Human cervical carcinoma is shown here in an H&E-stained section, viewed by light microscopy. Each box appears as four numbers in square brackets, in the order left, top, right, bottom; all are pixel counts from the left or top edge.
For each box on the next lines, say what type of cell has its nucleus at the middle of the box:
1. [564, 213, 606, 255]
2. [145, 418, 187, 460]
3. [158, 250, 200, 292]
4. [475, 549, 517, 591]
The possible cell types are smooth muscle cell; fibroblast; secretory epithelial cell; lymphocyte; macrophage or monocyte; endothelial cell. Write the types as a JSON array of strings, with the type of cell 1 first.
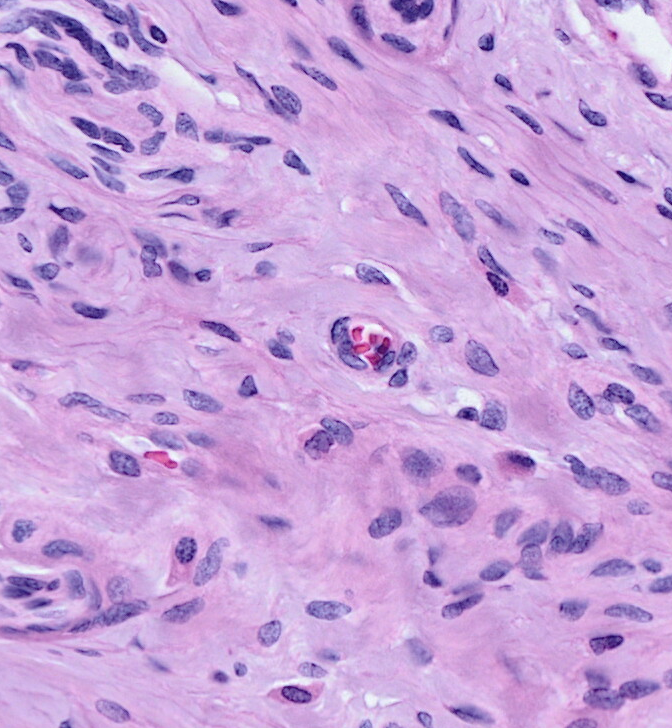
["fibroblast", "endothelial cell", "fibroblast", "fibroblast"]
